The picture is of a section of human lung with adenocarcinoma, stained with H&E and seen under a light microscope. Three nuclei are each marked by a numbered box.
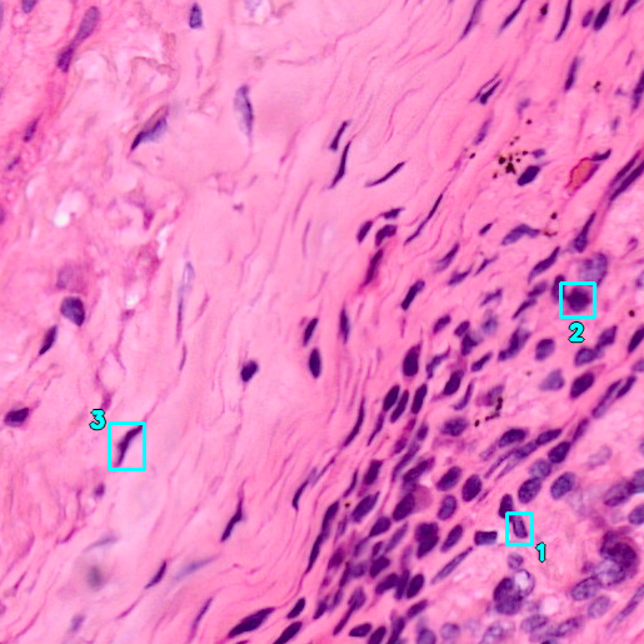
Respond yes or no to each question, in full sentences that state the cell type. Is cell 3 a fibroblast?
Yes, the cell at the mark numbered 3 is a fibroblast.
